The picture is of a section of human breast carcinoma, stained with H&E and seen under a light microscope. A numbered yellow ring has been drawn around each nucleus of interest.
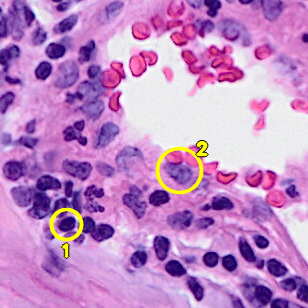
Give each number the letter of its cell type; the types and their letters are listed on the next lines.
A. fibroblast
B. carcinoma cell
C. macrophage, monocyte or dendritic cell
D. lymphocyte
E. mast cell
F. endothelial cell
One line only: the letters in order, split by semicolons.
D; F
